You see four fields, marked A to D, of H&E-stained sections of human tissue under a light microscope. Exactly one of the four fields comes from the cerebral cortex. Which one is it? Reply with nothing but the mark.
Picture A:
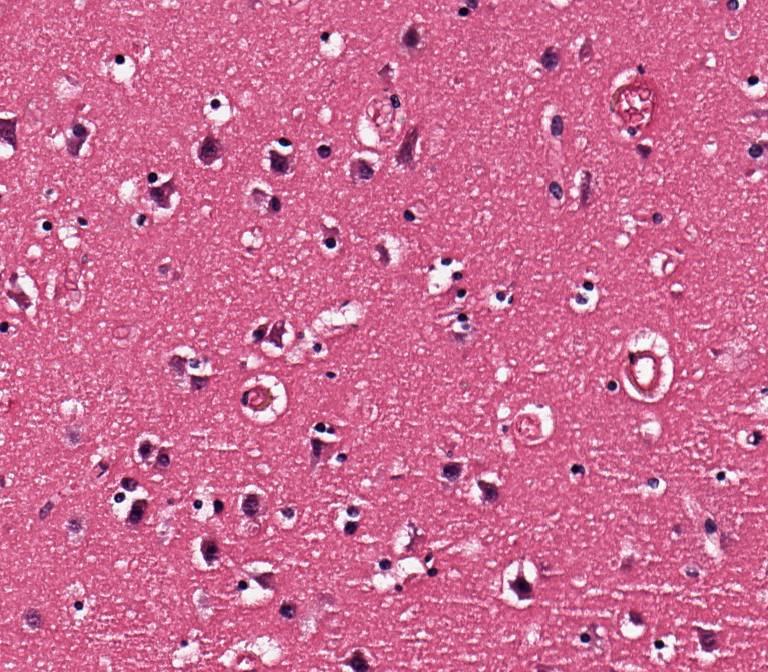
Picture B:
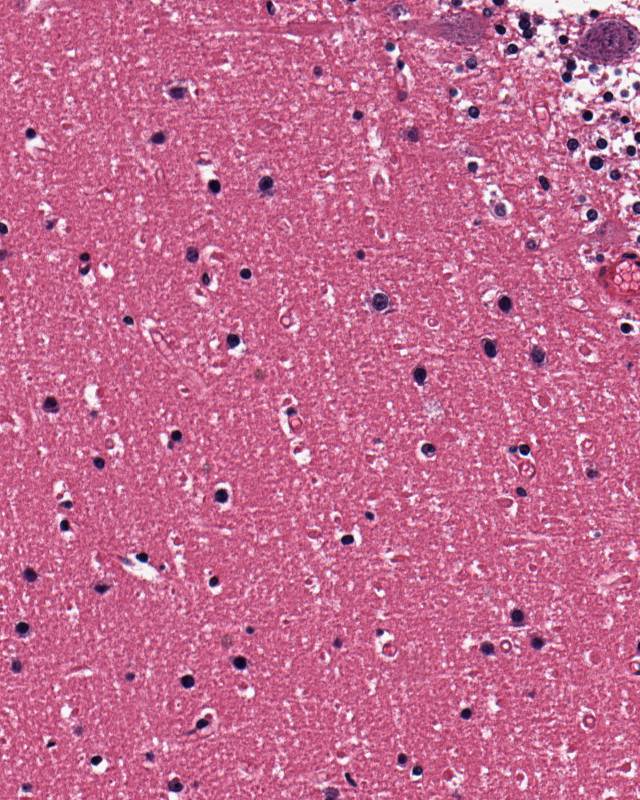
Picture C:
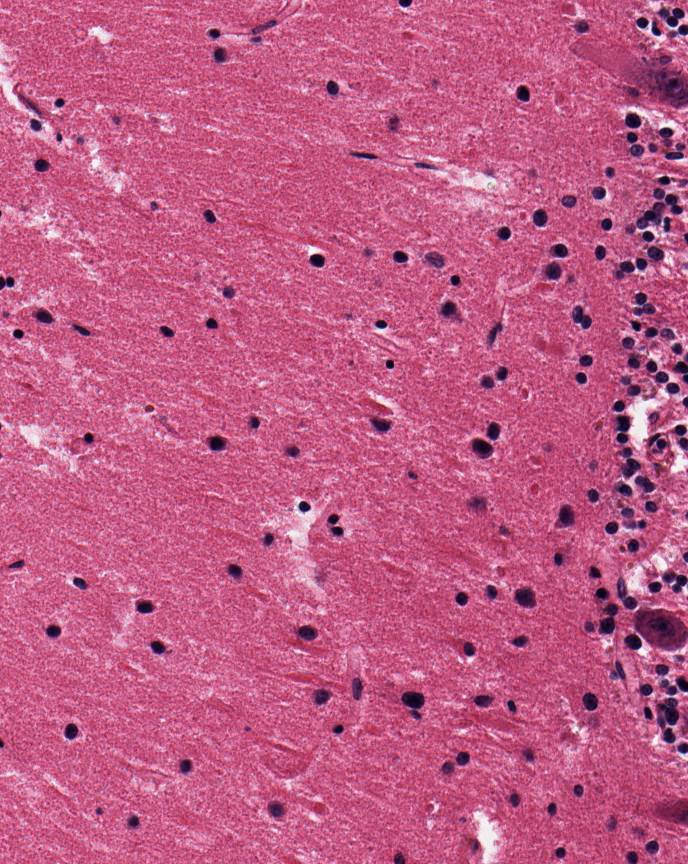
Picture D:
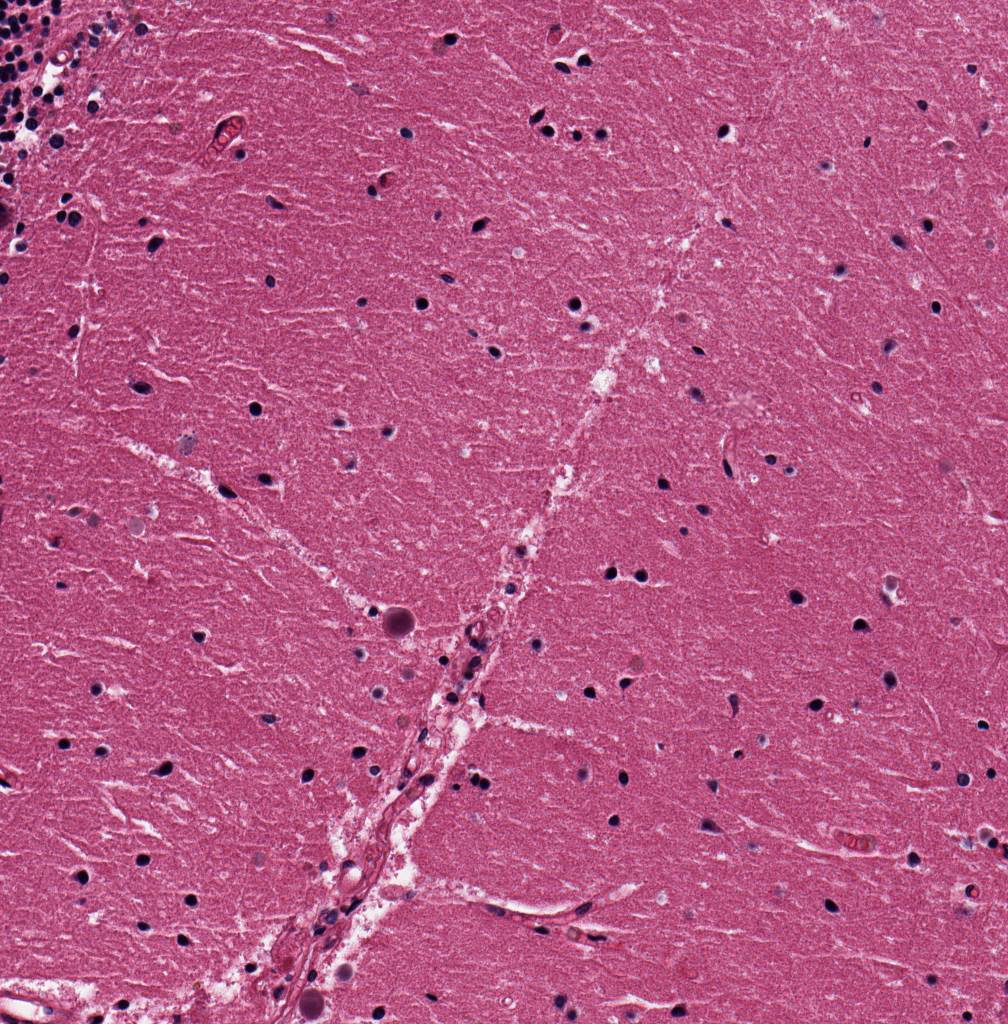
A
